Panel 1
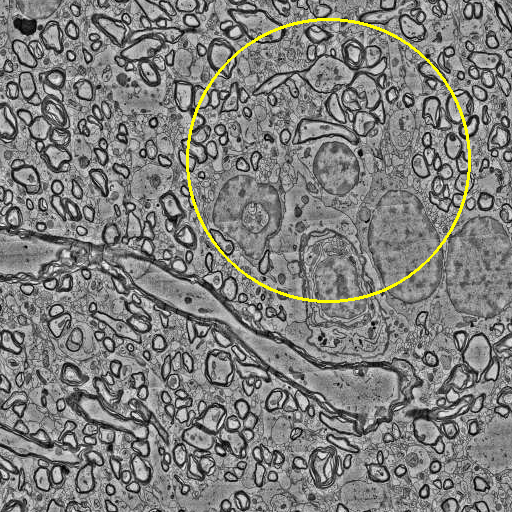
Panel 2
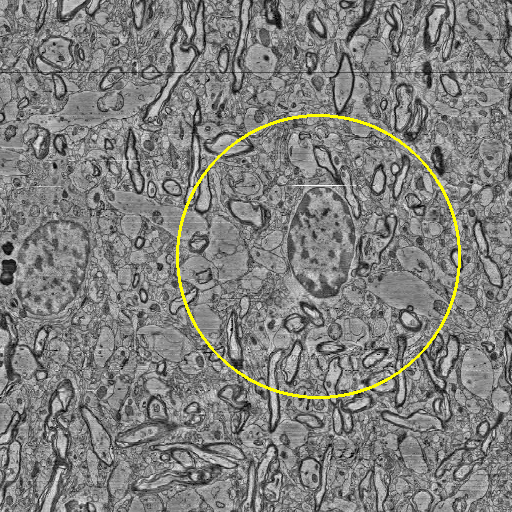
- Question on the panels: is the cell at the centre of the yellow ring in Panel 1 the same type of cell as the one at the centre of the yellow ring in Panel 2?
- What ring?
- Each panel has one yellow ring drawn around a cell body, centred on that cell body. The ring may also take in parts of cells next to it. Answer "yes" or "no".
yes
